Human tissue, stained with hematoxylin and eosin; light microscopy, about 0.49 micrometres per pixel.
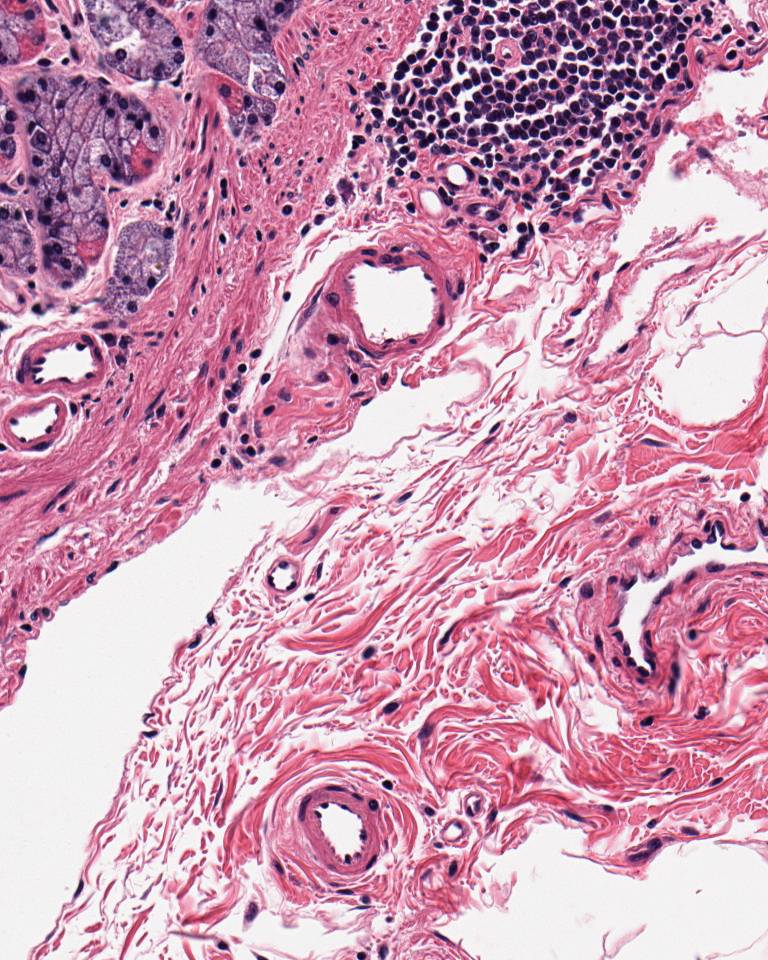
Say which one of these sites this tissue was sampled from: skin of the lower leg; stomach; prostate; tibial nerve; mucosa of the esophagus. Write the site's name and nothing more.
stomach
